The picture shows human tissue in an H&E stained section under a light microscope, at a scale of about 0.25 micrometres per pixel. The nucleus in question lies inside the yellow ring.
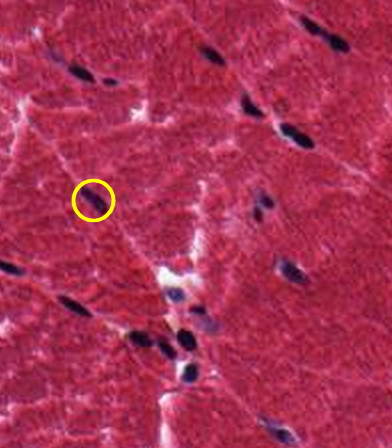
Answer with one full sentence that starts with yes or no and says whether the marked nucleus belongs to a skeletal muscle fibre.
Yes, the marked nucleus is found within a skeletal muscle fibre.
